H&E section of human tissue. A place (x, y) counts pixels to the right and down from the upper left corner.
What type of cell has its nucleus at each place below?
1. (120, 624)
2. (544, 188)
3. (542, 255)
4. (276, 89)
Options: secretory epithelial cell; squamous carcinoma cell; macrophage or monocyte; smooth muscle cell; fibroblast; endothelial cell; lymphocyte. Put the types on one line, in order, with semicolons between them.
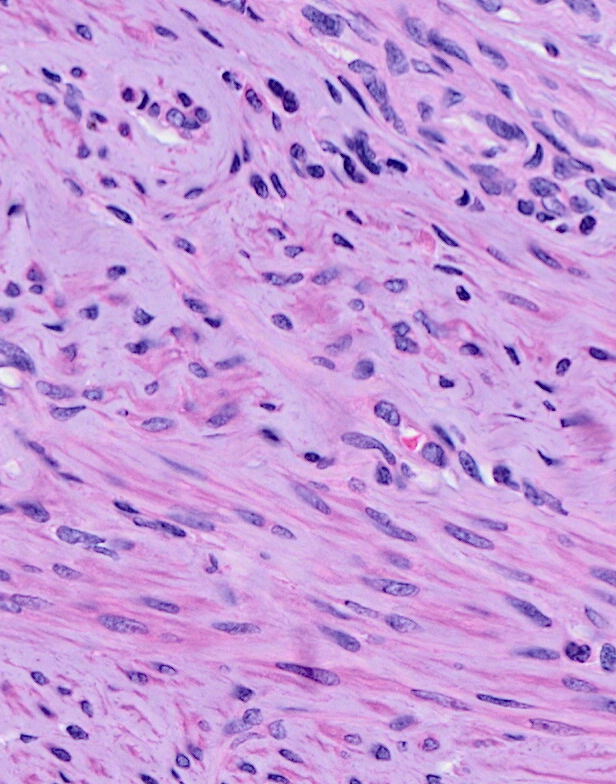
smooth muscle cell; endothelial cell; smooth muscle cell; lymphocyte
